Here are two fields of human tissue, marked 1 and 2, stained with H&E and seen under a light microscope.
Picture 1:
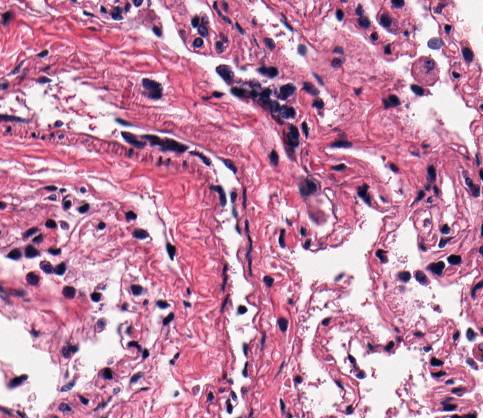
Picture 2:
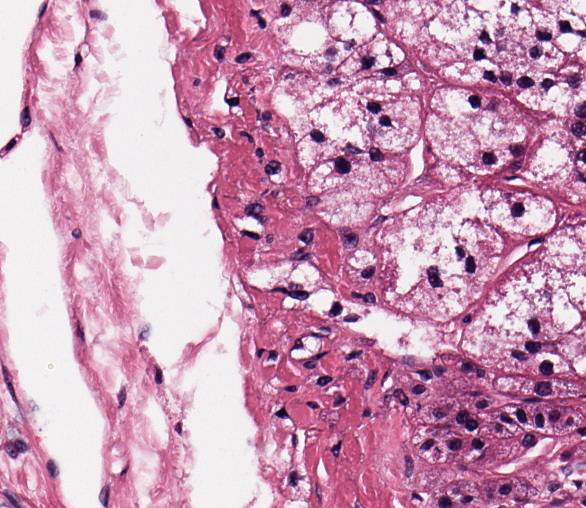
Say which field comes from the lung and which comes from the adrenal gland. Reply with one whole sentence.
It is picture 1 that comes from the lung, and picture 2 that comes from the adrenal gland.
